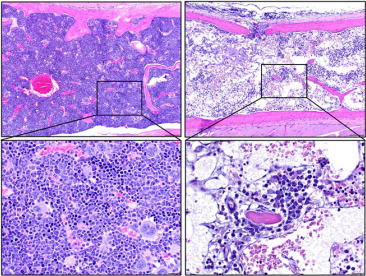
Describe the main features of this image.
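These are sections of bone marrow lying within pink bone, shown at low power above and higher power below. On the left the marrow cavity is densely packed with blood-forming cells: many small round cells with dark purple nuclei and scant cytoplasm, interspersed with scattered very large cells with big nuclei and abundant pink cytoplasm, and a vessel filled with red blood cells.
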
